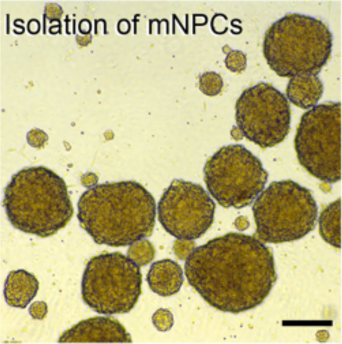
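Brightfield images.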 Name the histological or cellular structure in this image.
Neurospheres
